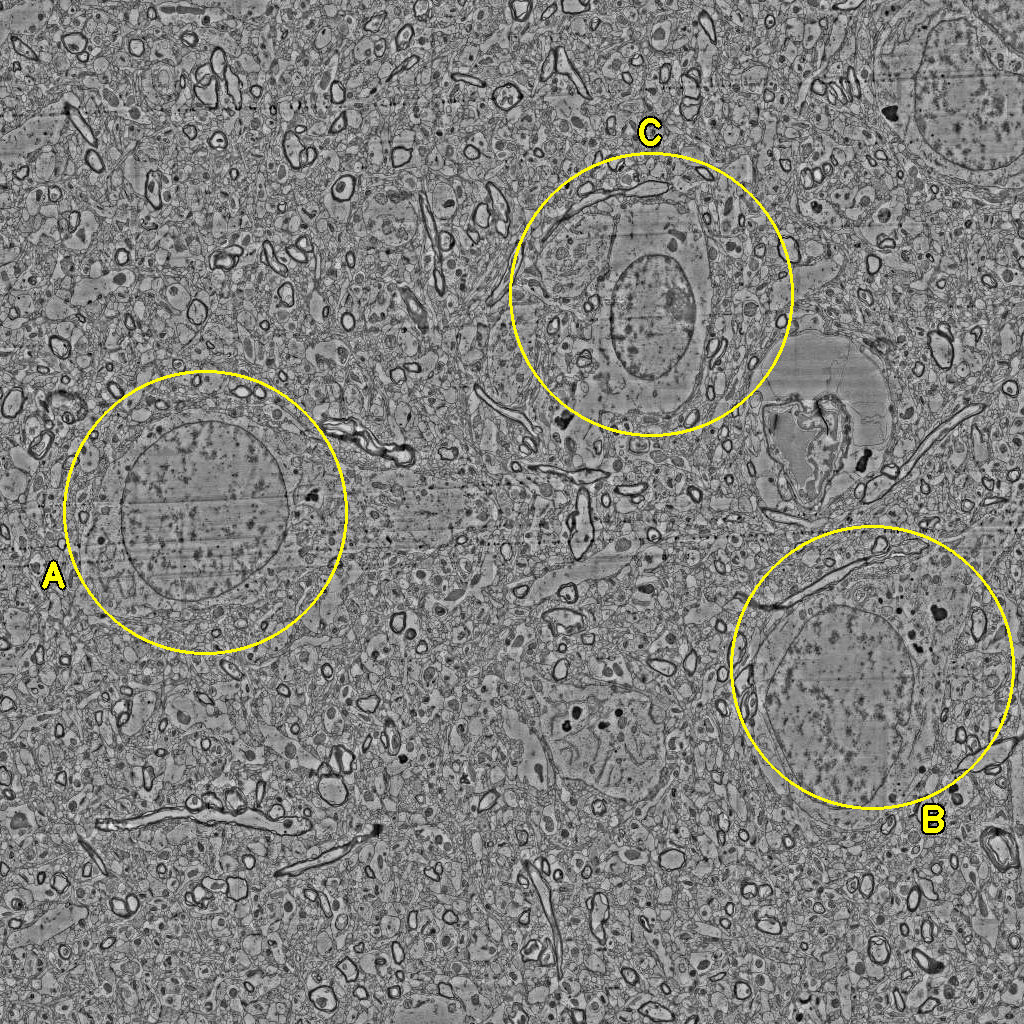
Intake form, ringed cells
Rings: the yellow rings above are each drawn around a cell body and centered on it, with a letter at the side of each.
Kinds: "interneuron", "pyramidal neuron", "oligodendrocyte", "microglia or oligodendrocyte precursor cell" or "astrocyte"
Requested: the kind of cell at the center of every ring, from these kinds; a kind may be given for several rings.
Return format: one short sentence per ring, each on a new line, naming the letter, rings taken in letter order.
In the center of ring A there is a pyramidal neuron.
In the center of ring B there is a pyramidal neuron.
In the center of ring C there is an astrocyte.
